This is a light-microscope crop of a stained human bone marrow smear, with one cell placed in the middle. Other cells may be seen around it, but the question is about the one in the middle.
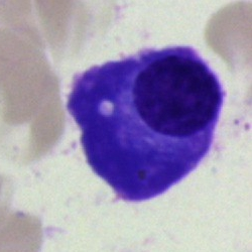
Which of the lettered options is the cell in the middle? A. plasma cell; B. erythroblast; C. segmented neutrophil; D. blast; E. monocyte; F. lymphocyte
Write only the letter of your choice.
A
